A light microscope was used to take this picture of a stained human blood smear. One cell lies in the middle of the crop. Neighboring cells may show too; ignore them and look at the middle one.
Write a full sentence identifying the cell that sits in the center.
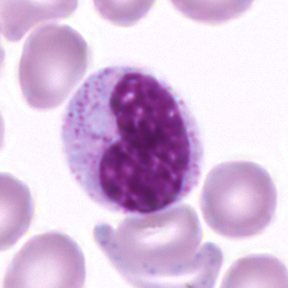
Of the cells in this crop, the central one is a metamyelocyte.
